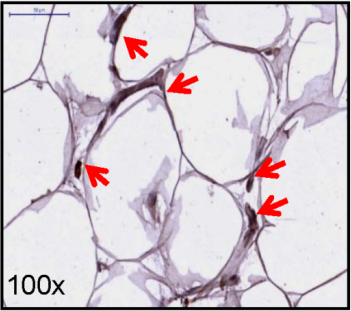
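This is adipose tissue with large polygonal fat cells whose contents appear empty and whose borders are thin lines. Dark brown to grey-brown stained cells lie along the septa and at the junctions between fat cells. Some of the stained cells are elongated and follow the curve of the fat cell borders, while others are small and compact. Pale grey material fills some of the spaces between the fat cells around the stained cells.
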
